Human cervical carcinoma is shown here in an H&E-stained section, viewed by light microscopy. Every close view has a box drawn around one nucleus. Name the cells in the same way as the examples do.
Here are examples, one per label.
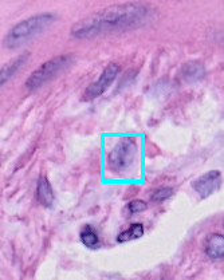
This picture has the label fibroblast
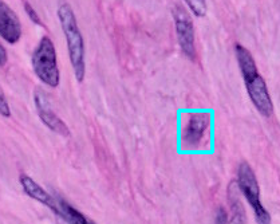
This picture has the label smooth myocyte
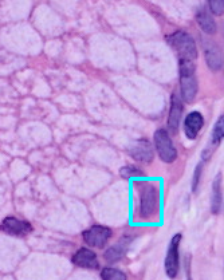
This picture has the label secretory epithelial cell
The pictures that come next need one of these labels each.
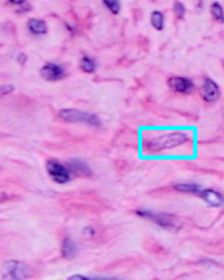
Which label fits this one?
smooth myocyte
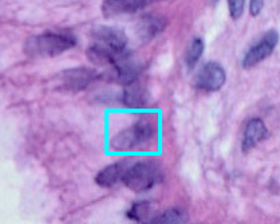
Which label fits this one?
secretory epithelial cell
